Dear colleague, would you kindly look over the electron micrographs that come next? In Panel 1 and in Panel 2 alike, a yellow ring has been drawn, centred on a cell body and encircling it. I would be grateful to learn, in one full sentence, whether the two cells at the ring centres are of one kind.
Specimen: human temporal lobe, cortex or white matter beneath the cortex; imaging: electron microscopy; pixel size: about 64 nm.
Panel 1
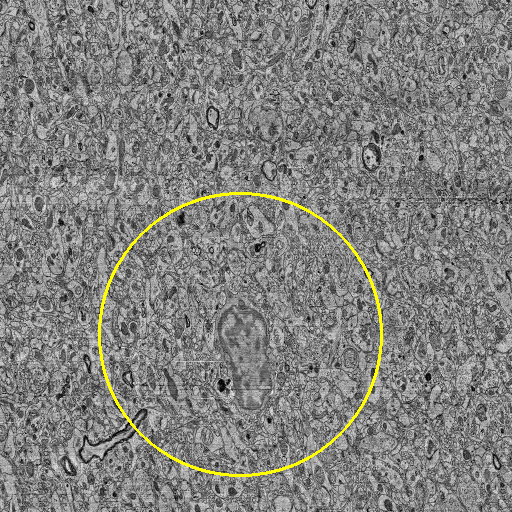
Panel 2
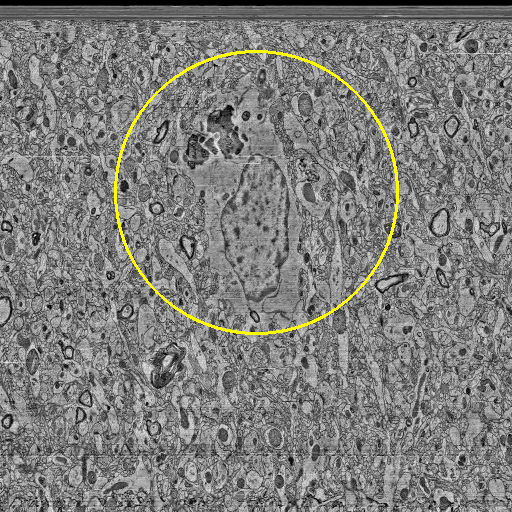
No, the cells in the middle of the rings in the two panels are of two kinds.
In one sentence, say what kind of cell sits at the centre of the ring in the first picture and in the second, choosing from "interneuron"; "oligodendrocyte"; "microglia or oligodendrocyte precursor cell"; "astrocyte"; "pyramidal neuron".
The first picture's ringed cell is an oligodendrocyte, while the second picture's is an astrocyte.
